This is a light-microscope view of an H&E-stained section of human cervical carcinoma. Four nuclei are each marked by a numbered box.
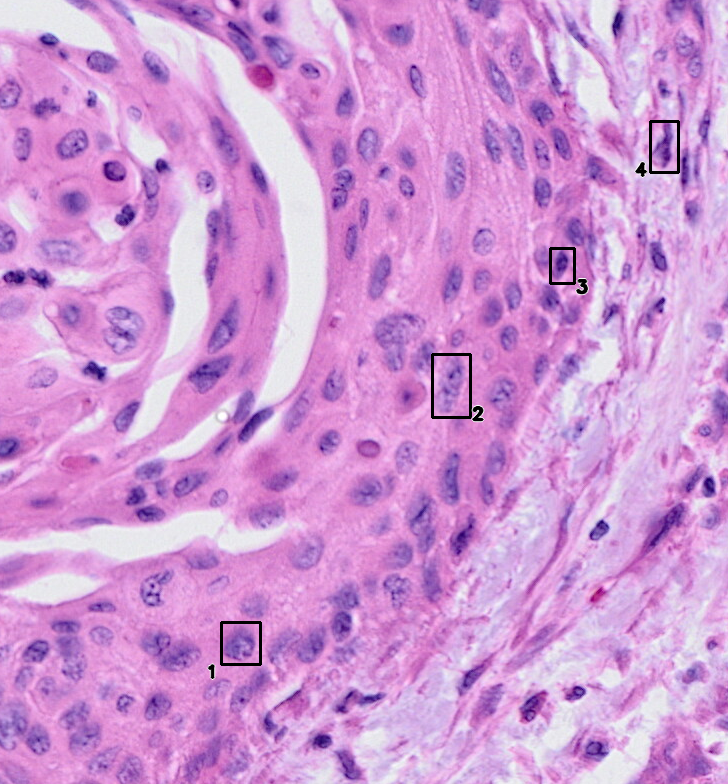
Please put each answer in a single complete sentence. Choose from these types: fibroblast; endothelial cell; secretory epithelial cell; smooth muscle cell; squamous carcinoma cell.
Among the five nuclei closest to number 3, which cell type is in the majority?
Most of the five nuclei nearest to number 3 are those of squamous carcinoma cells.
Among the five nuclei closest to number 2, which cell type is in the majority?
Squamous carcinoma cells account for more than half of the five nuclei nearest to number 2.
